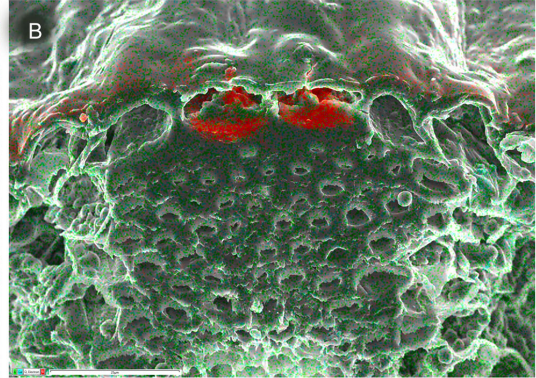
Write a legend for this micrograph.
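Hypodermal sclerenchyma forms a compact mass of thick-walled cells with small, round lumens beneath the epidermis. Above this mass, two red-mapped conical bodies sit side by side within epidermal cells at the surface. The bodies are dense and sharply bounded against the surrounding tissue. Looser, more irregular tissue flanks the sclerenchyma on both sides. A faint red line also follows the outer surface.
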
